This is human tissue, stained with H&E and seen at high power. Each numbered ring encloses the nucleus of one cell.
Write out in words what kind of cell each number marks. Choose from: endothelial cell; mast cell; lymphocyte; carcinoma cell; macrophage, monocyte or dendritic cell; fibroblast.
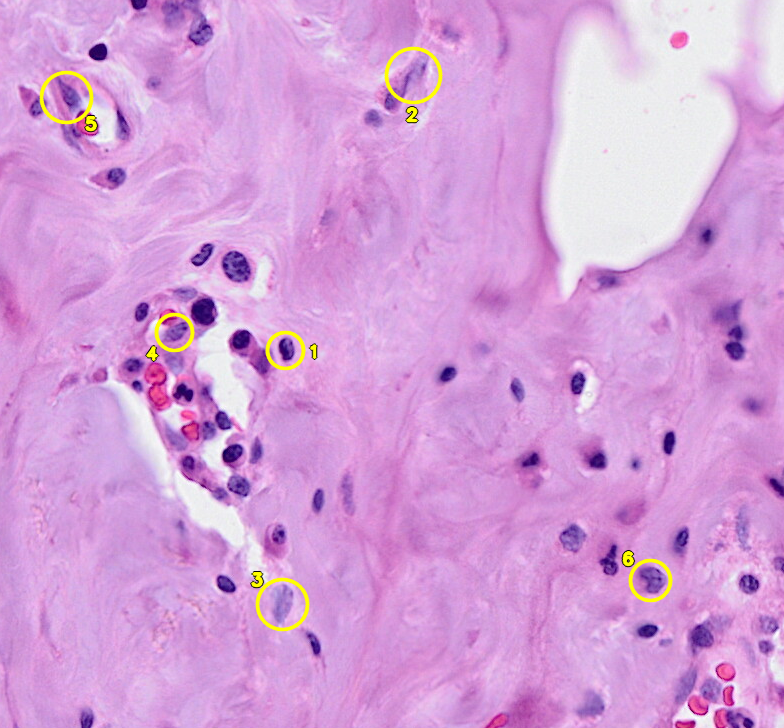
Cell 1 is a lymphocyte. Cells 2 and 3 are fibroblasts. Cells 4 and 5 are endothelial cells. Cell 6 is a macrophage, monocyte or dendritic cell.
